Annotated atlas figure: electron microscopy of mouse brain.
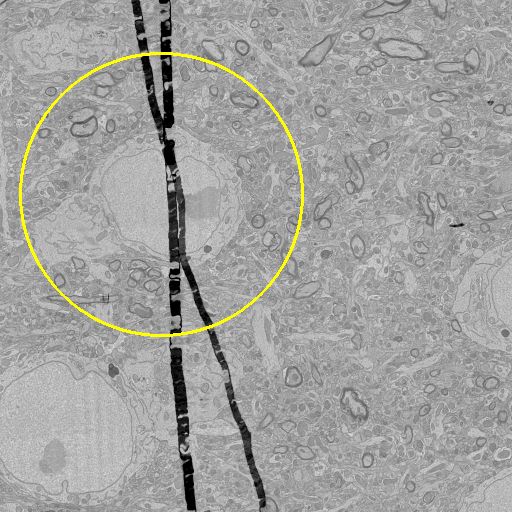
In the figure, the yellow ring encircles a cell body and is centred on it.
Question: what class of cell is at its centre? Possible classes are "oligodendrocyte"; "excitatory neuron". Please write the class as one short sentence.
The yellow ring is drawn around an excitatory neuron.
